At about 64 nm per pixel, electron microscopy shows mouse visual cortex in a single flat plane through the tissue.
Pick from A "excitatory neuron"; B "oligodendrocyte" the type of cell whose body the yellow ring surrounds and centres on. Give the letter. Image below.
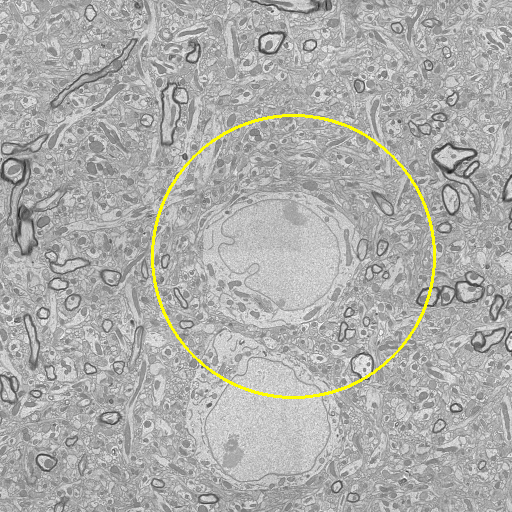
A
